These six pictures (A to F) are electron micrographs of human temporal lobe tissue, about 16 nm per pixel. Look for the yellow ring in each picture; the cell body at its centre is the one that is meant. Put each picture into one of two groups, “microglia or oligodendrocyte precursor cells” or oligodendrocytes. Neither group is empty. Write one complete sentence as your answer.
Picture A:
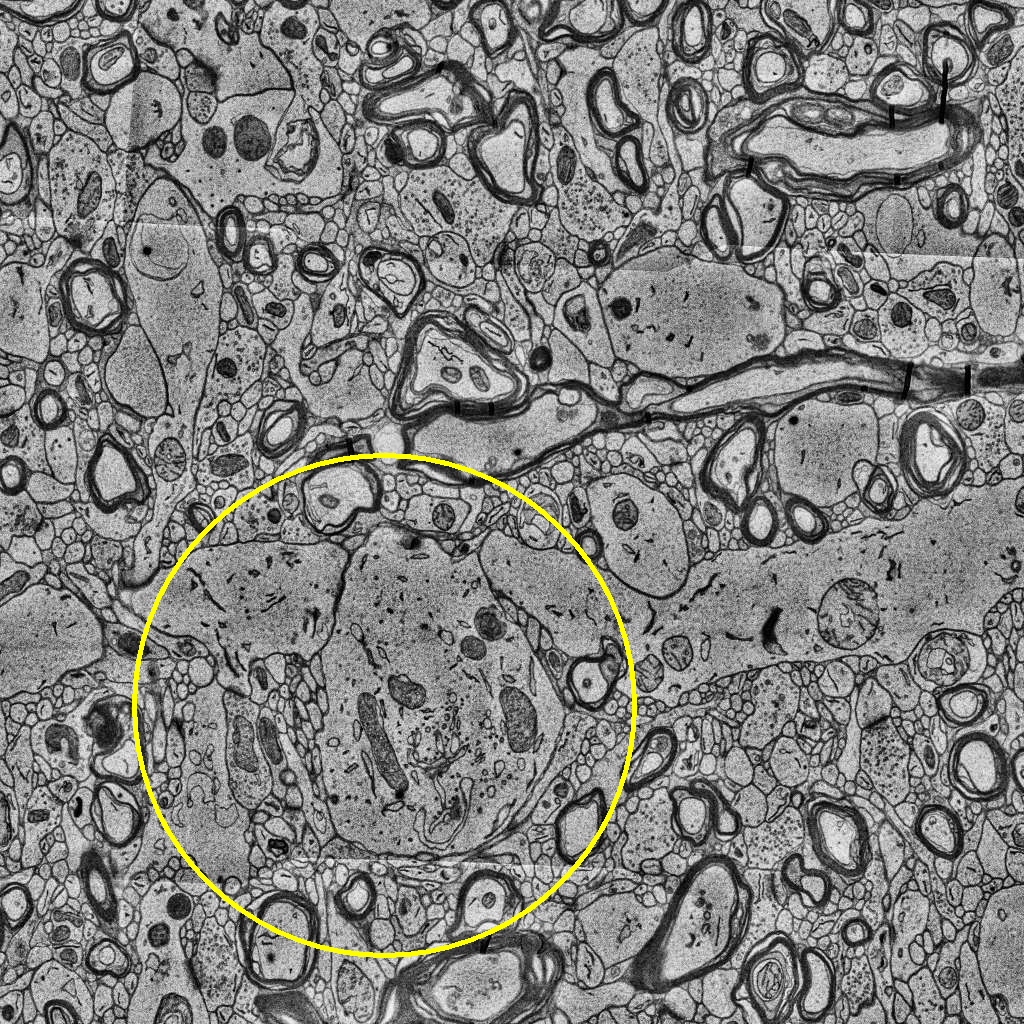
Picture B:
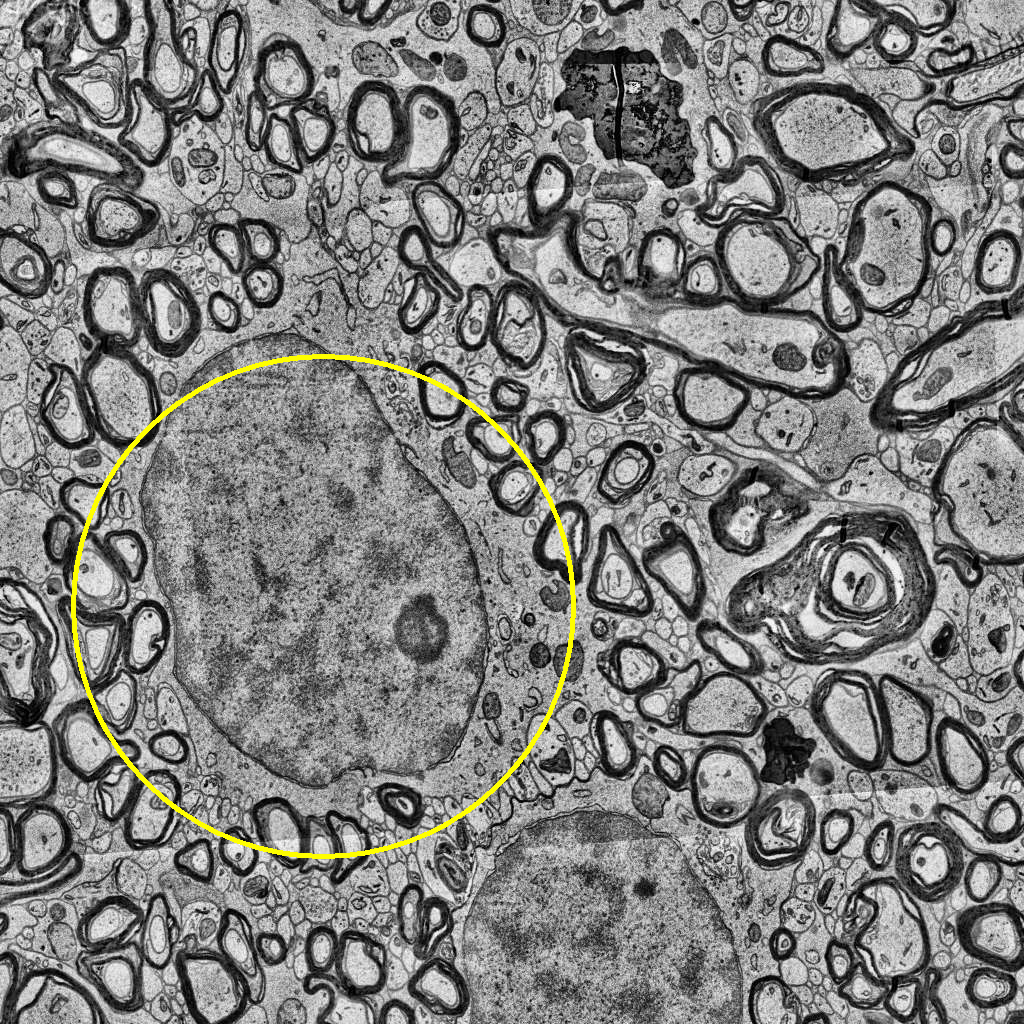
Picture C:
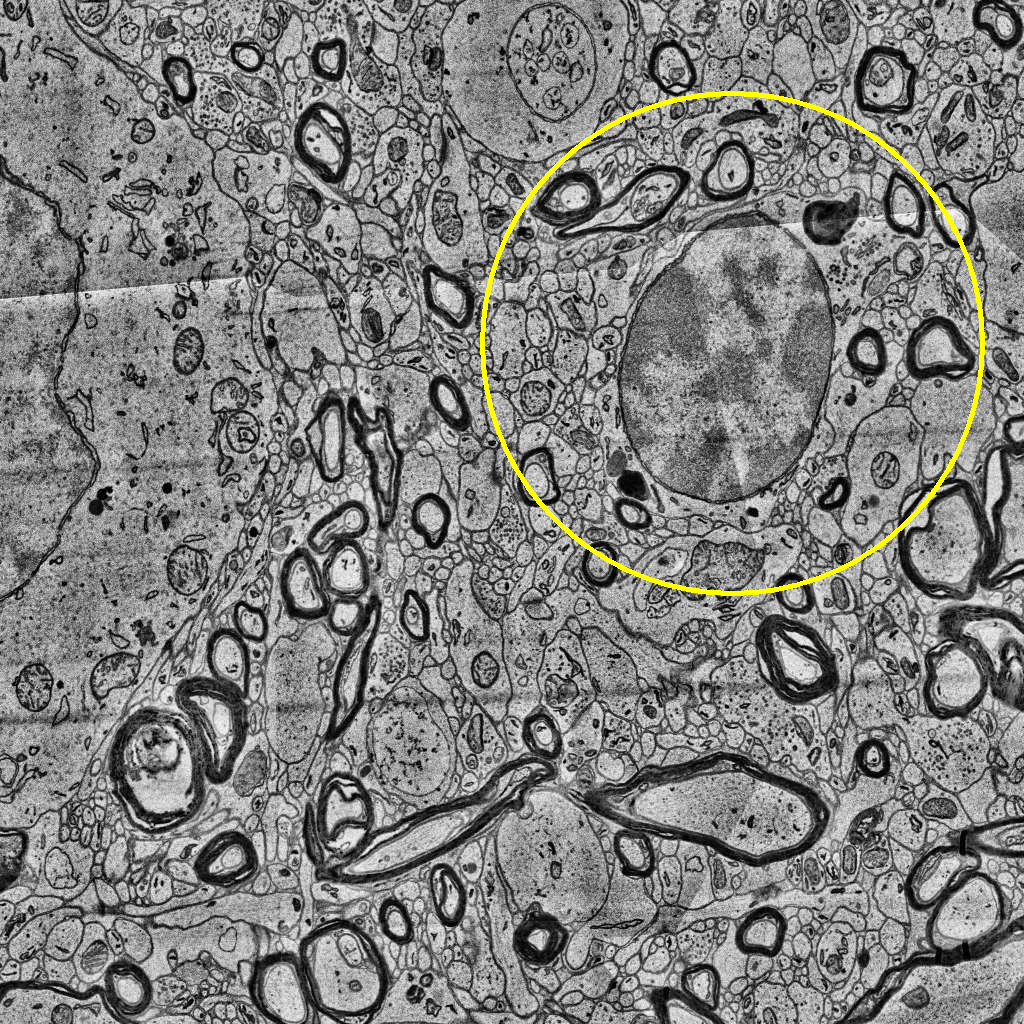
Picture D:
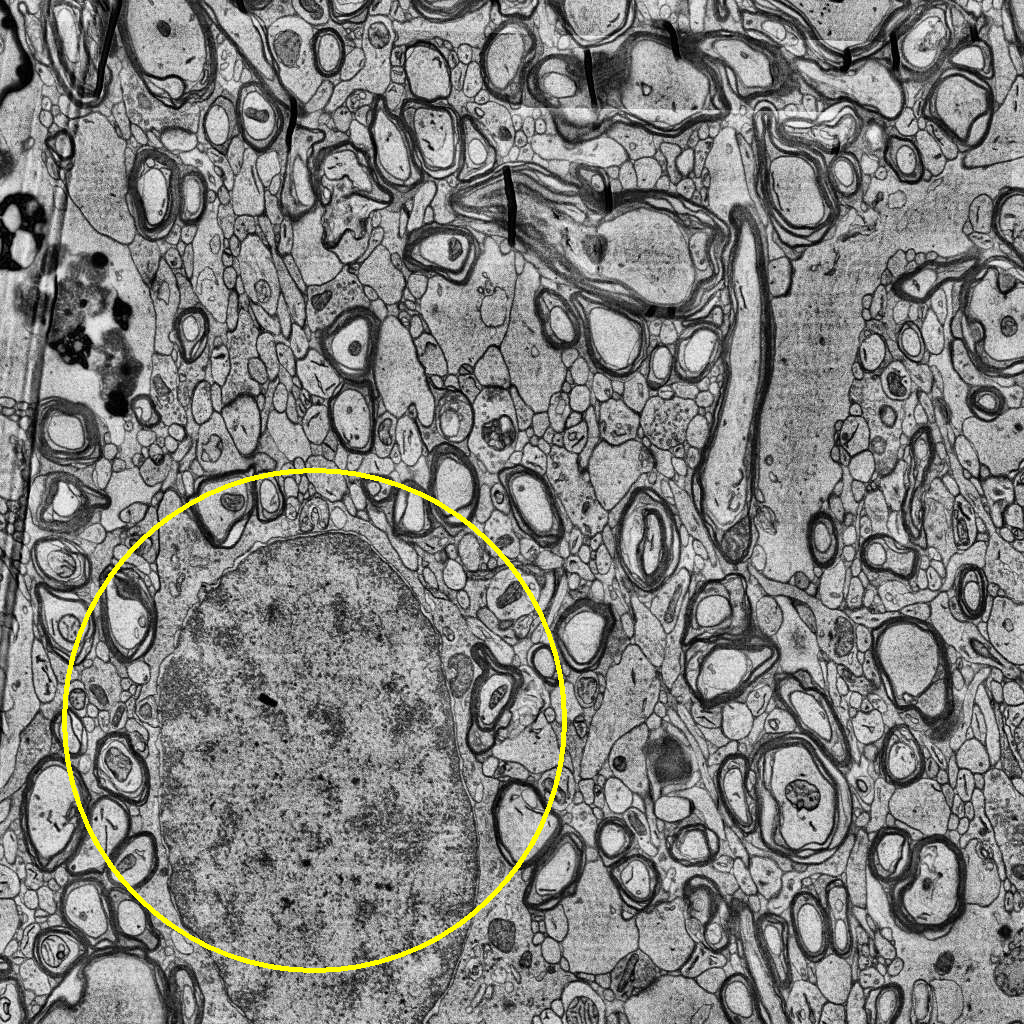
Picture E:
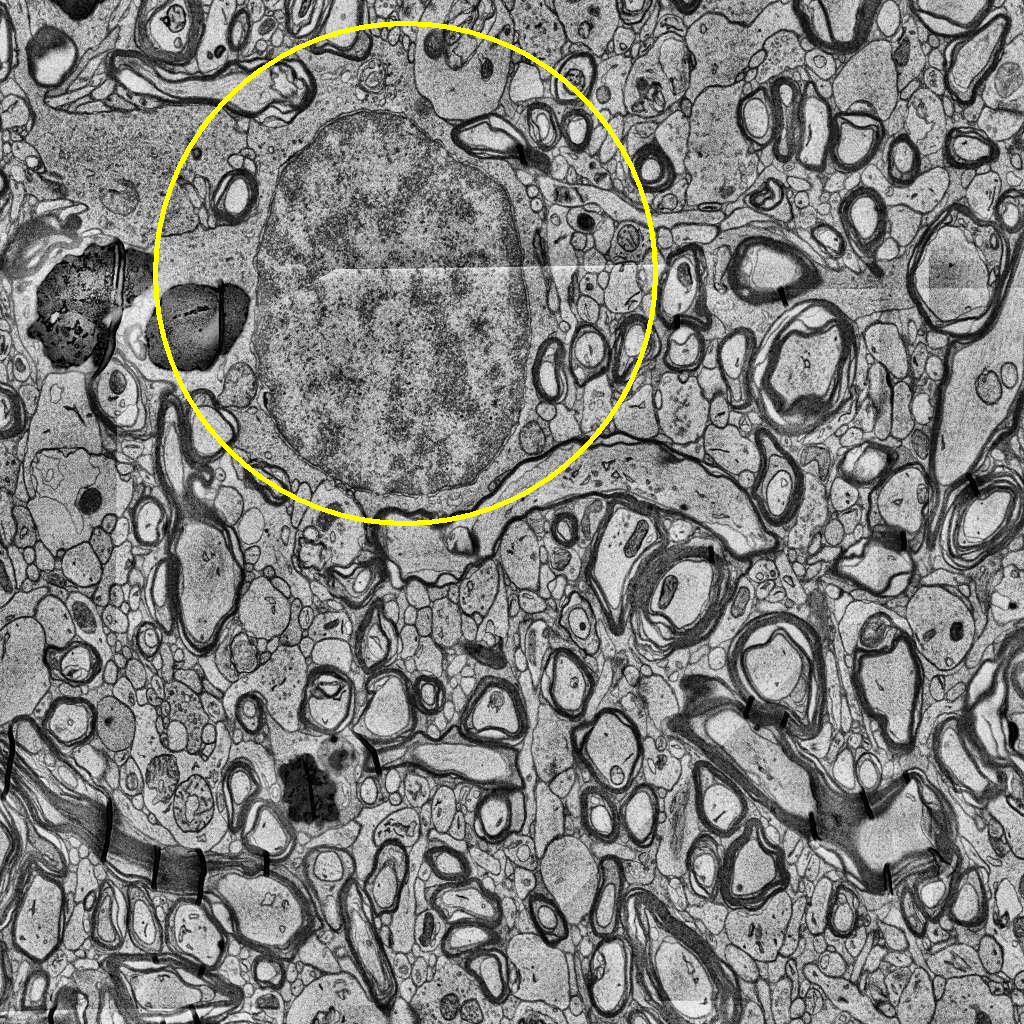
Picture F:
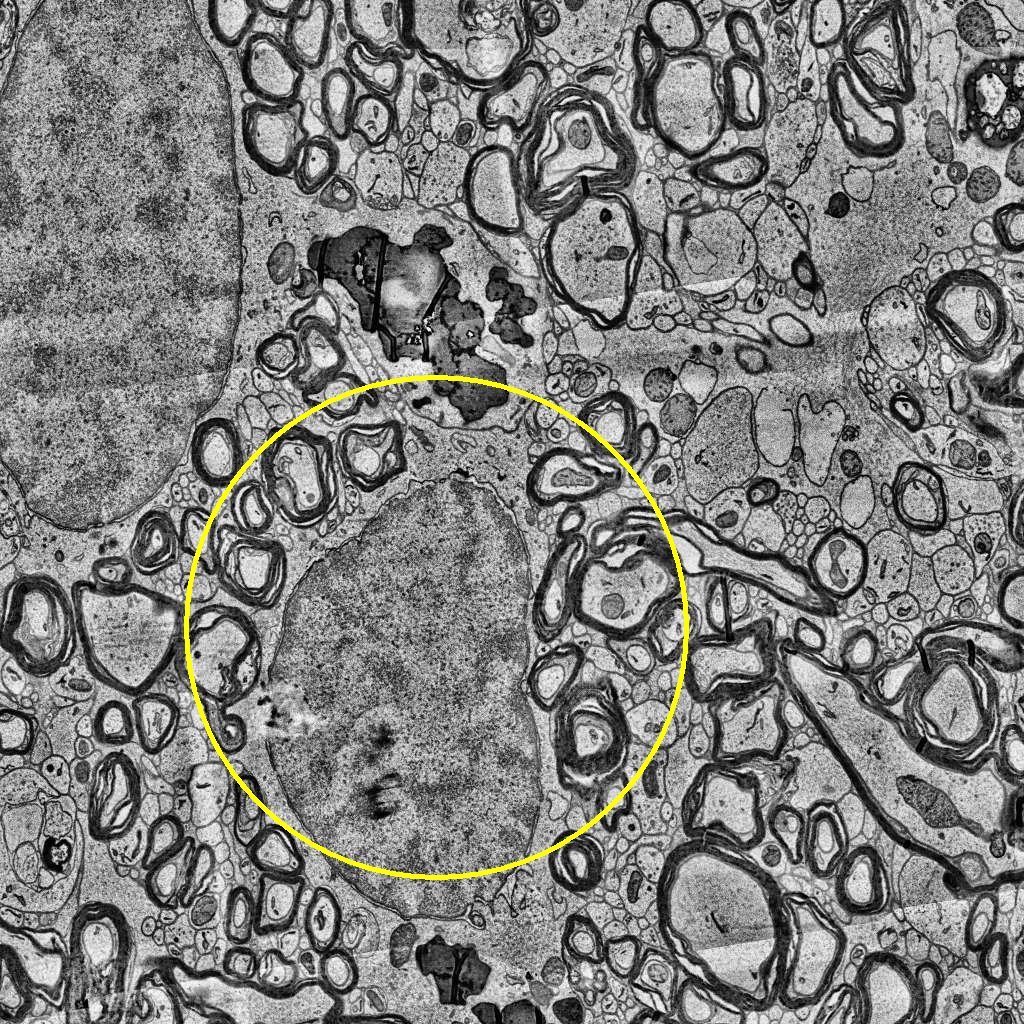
Pictures A and C show “microglia or oligodendrocyte precursor cells”; pictures B, D, E and F show oligodendrocytes.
